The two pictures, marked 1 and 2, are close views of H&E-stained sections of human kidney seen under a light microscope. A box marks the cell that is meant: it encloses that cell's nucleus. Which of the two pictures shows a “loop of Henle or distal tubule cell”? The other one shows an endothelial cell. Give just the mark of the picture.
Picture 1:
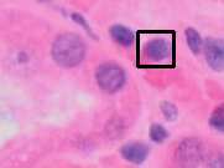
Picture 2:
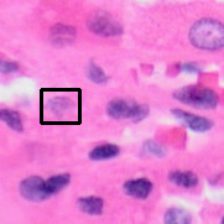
2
